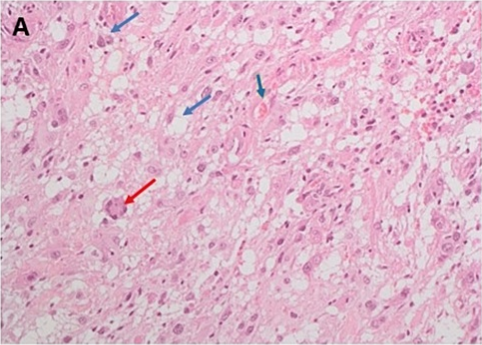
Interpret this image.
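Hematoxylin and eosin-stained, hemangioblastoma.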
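Tumor tissue made of lipid-laden foamy stromal cells lying among small capillaries. Many cells have pale pink cytoplasm broken up by clear round vacuoles of varying size, giving a bubbly, foamy appearance, with round to oval purple nuclei. The cells are loosely arranged in a pink fibrillary background. Scattered among them is a larger cell with a dark, clustered nucleus, a foamy giant cell. Small round channels with thin pink walls run through the tissue, surrounded by the vacuolated cells, and a few red blood cells lie within the tissue.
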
